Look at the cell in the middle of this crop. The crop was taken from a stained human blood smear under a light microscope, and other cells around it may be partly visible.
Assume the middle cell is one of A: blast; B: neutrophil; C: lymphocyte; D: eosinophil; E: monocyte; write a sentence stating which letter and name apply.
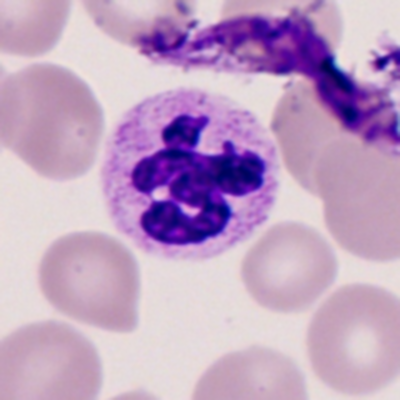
Option B, which names the central cell as a neutrophil, is correct.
